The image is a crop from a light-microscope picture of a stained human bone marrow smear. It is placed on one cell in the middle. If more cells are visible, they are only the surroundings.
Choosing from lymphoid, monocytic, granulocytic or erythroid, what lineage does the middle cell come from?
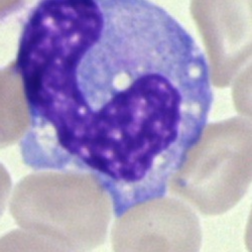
monocytic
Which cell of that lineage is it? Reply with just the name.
monocyte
